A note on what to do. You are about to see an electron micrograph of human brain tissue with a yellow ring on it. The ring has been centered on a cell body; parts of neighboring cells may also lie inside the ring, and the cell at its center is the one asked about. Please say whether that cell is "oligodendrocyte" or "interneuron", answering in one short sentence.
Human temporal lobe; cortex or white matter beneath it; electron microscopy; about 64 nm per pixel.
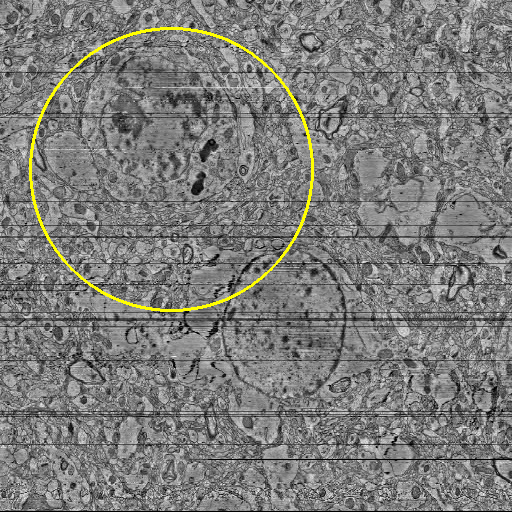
The yellow ring sits on an interneuron.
